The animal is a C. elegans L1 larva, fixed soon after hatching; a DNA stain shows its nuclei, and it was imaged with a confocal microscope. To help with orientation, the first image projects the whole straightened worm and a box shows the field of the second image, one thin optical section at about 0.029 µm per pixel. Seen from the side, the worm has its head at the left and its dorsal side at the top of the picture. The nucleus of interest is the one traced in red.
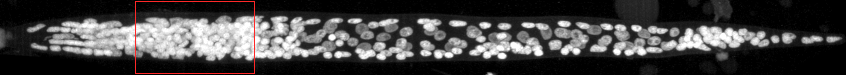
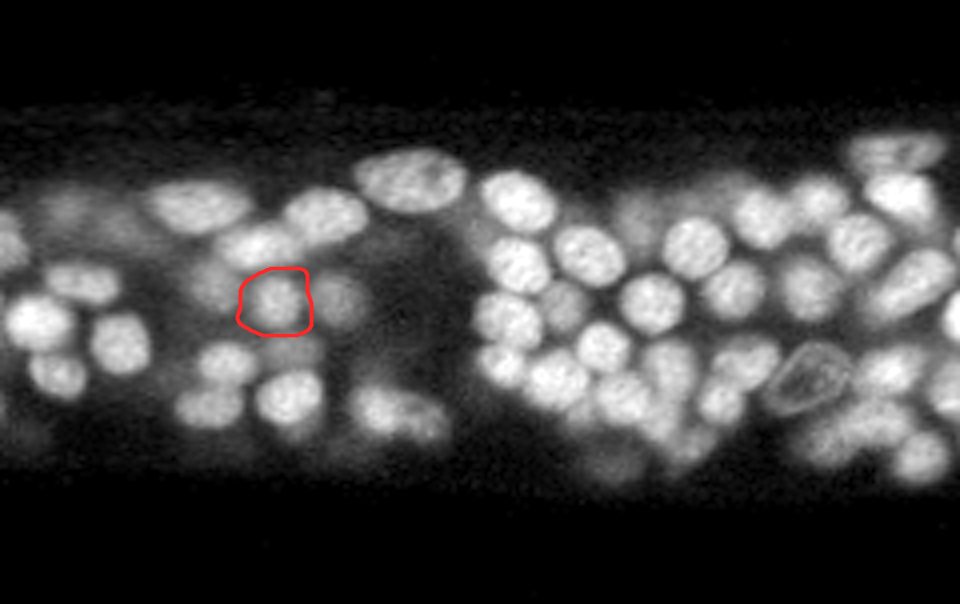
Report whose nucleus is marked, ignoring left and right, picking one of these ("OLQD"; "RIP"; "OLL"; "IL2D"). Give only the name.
RIP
